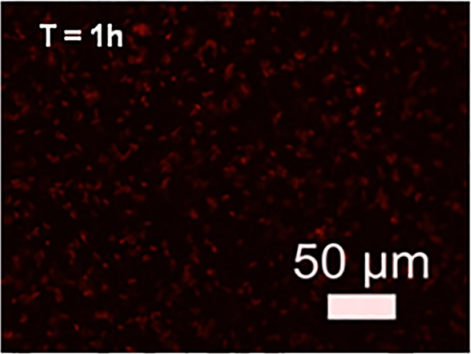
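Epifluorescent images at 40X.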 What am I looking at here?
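Against a dark background lie many small, roughly round red spots, scattered evenly over the whole field without clustering into sheets or rows. Each spot is only a few micrometres across, small compared with the scale bar, and none shows a nucleus or any inner structure; the red is faint and fairly even within each spot, with soft edges.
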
